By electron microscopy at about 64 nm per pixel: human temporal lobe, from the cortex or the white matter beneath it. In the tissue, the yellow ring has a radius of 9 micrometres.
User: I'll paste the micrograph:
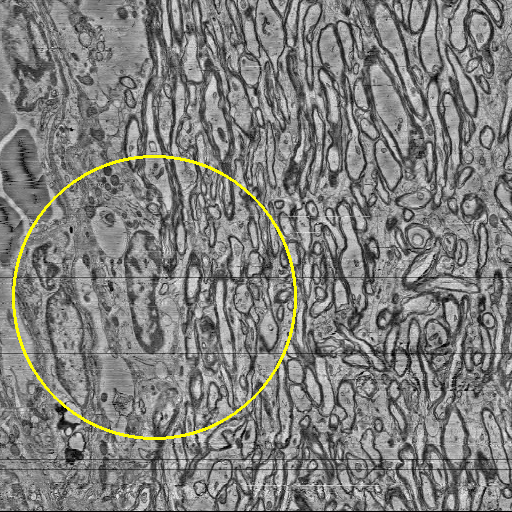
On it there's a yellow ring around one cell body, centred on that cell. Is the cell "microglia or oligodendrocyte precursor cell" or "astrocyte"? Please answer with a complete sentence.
The cell ringed in yellow is a microglial cell or oligodendrocyte precursor cell.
